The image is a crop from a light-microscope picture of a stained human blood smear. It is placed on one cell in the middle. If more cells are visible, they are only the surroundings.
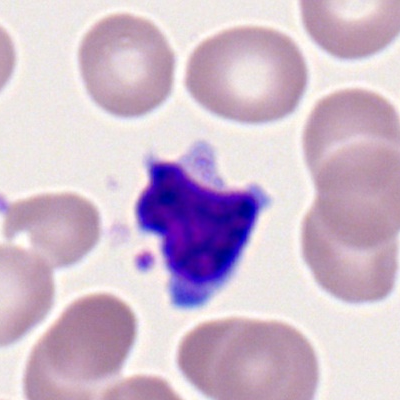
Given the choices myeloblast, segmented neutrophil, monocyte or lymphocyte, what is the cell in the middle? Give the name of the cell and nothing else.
lymphocyte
